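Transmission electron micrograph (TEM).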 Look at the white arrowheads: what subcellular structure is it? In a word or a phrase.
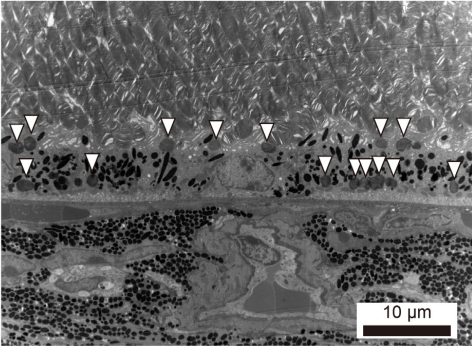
Undigested photoreceptor cell outer segments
